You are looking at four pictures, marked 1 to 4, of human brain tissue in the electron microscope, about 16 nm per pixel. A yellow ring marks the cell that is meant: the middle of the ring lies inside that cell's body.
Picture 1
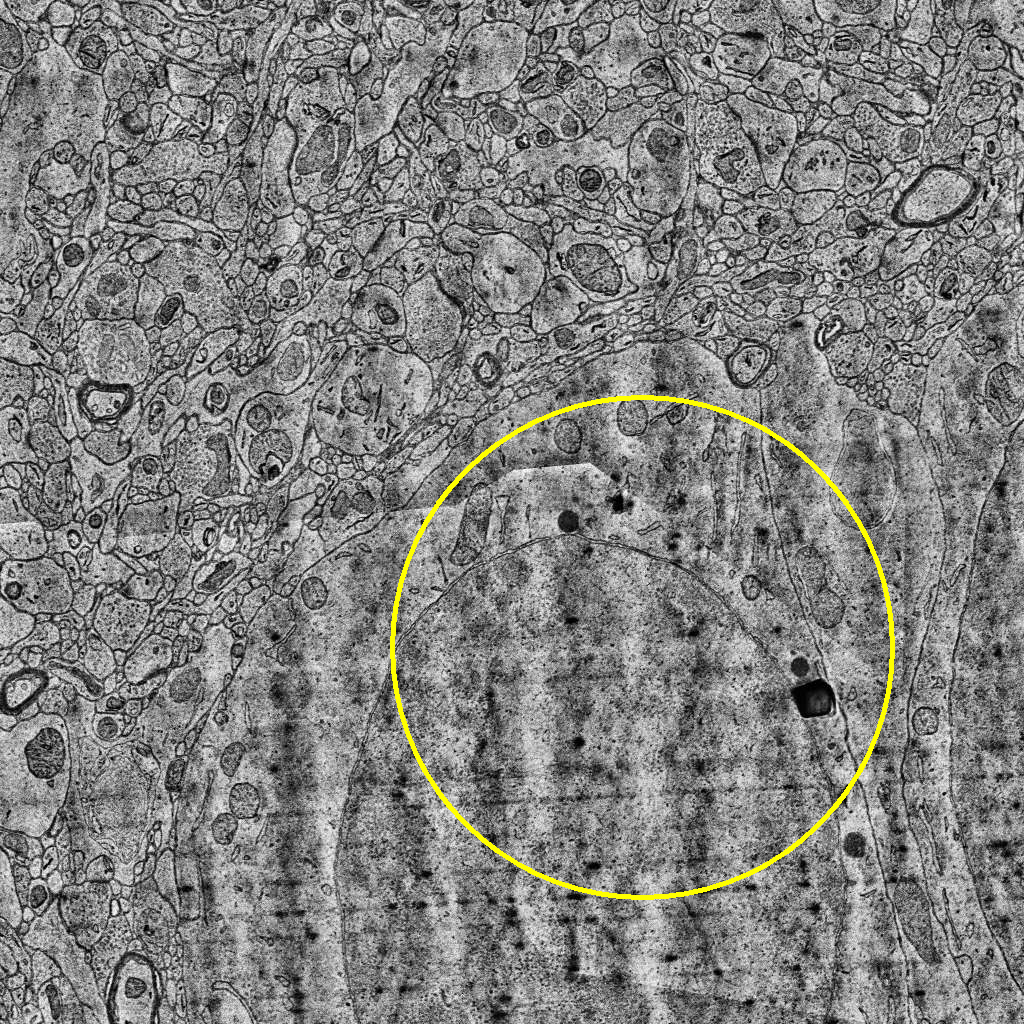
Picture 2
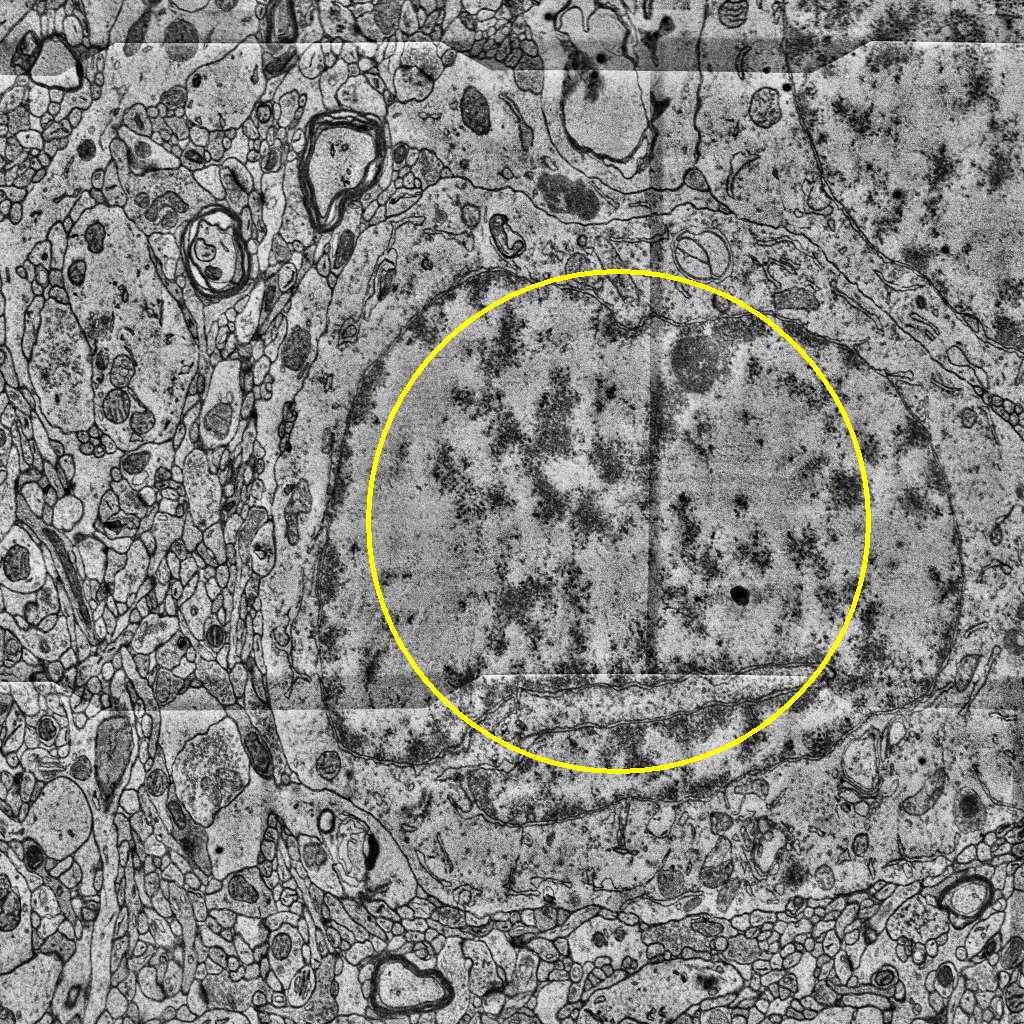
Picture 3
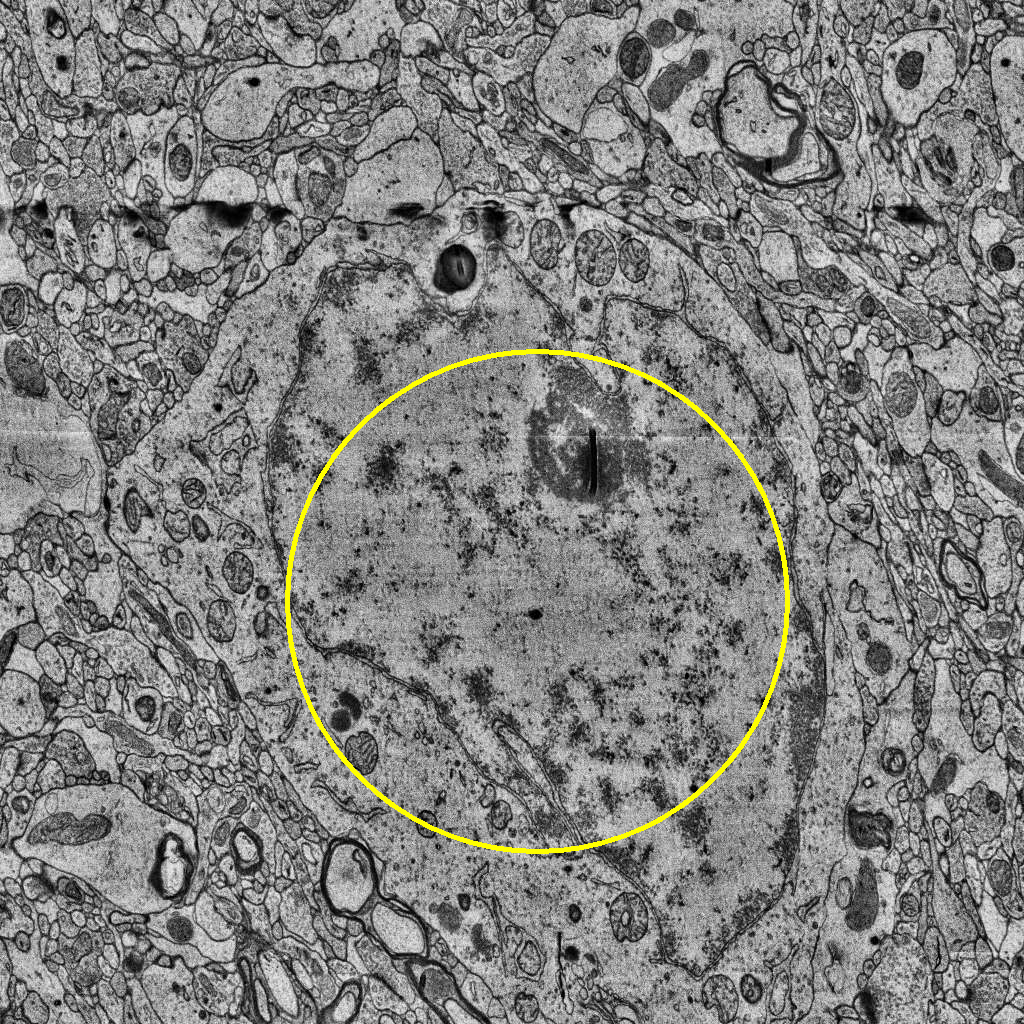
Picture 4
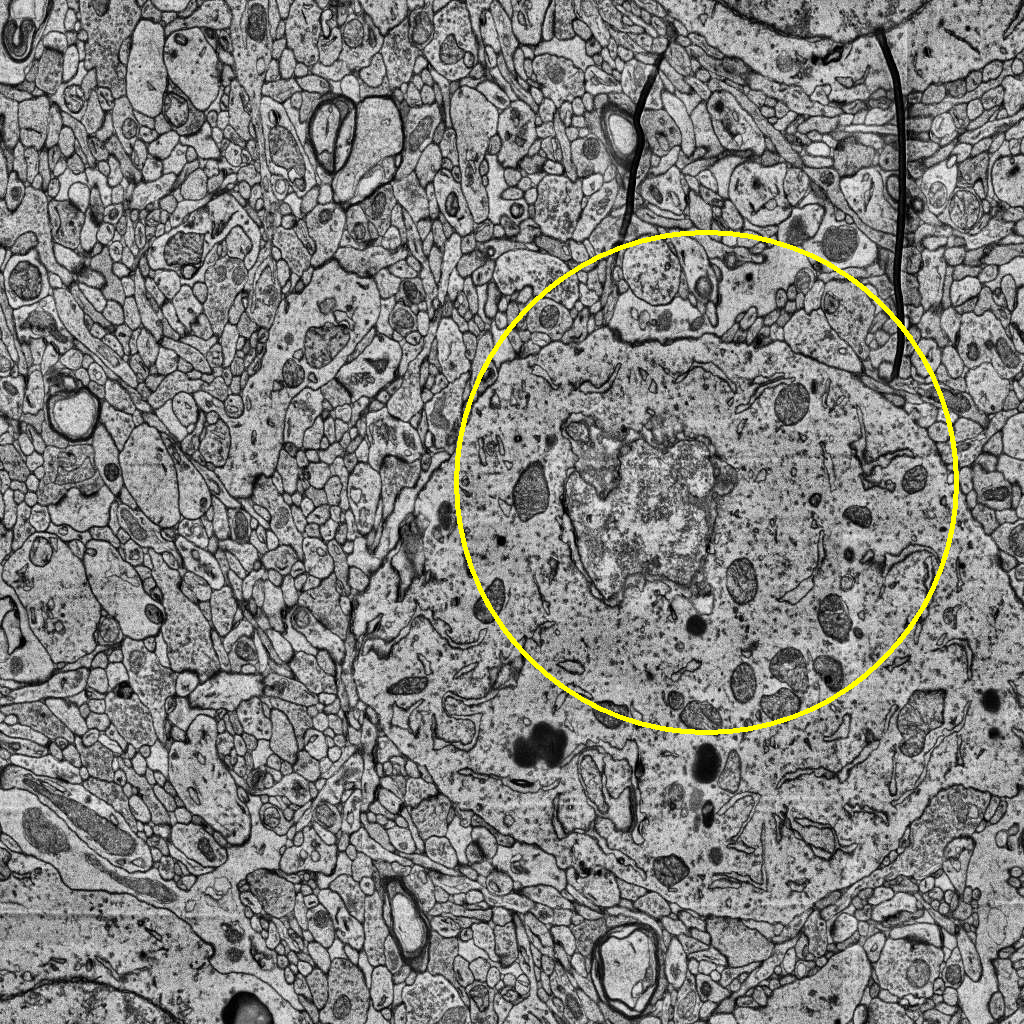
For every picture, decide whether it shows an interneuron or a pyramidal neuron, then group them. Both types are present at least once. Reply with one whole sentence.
Pictures 2, 3 and 4 show interneurons, and picture 1 shows a pyramidal neuron.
